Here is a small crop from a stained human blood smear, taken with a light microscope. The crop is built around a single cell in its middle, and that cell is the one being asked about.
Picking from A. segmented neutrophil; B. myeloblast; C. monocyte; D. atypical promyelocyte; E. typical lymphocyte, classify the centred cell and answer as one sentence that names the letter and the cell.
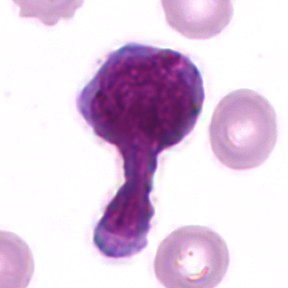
The correct option, D, names the middle cell as an atypical promyelocyte.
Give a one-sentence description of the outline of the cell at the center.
In outline, the cell is irregular, ragged in stretches or drawn into projections.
